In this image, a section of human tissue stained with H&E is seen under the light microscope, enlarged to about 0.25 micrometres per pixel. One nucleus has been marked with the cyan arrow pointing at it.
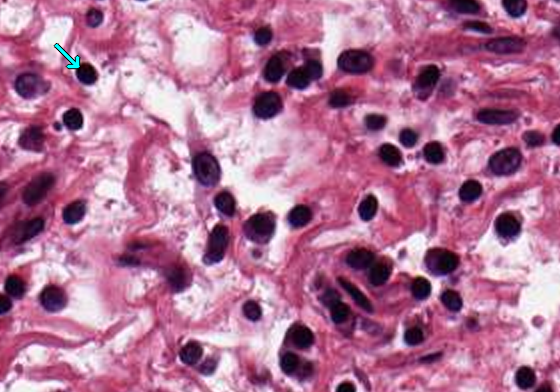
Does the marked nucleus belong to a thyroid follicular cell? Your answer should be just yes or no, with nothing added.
no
